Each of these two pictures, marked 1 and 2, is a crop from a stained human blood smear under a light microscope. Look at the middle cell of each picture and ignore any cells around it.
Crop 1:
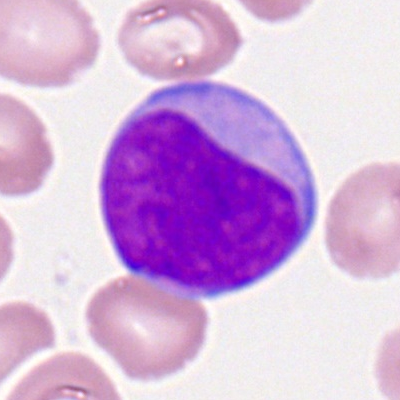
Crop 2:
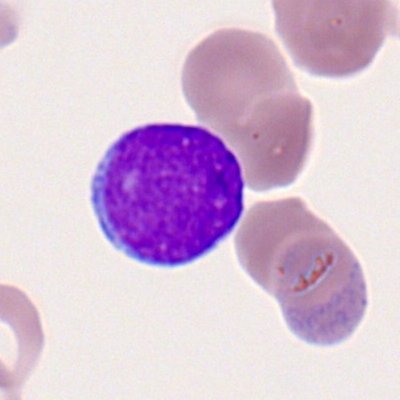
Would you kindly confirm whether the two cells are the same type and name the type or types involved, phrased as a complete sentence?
Yes, both the first crop and the second crop show blasts.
